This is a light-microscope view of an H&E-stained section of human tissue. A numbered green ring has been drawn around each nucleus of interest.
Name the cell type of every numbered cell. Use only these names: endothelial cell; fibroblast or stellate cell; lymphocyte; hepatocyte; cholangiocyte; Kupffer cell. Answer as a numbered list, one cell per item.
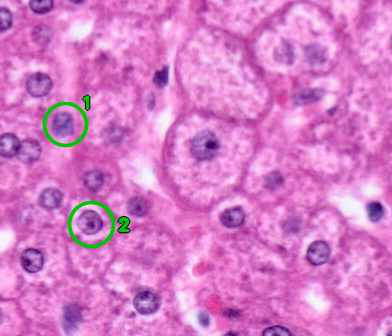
1. endothelial cell
2. hepatocyte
